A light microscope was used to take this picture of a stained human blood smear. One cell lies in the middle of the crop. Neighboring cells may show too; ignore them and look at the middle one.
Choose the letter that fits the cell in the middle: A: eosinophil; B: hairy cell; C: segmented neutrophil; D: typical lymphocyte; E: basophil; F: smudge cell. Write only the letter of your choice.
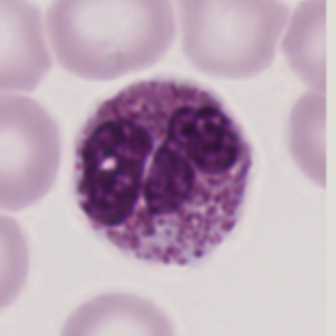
A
